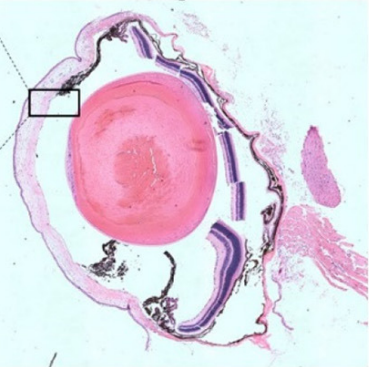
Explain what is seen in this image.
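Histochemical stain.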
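This is a cross-section through a whole eye, with the large round lens stained pink in the centre. The retina appears as purple layered bands running along the inner wall, broken into segments. A thin black pigmented layer lies along the outer side of the retina. The front wall of the eye on the left is a thin, pale pink band. Pale pink tissue fragments lie outside the globe on the right.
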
